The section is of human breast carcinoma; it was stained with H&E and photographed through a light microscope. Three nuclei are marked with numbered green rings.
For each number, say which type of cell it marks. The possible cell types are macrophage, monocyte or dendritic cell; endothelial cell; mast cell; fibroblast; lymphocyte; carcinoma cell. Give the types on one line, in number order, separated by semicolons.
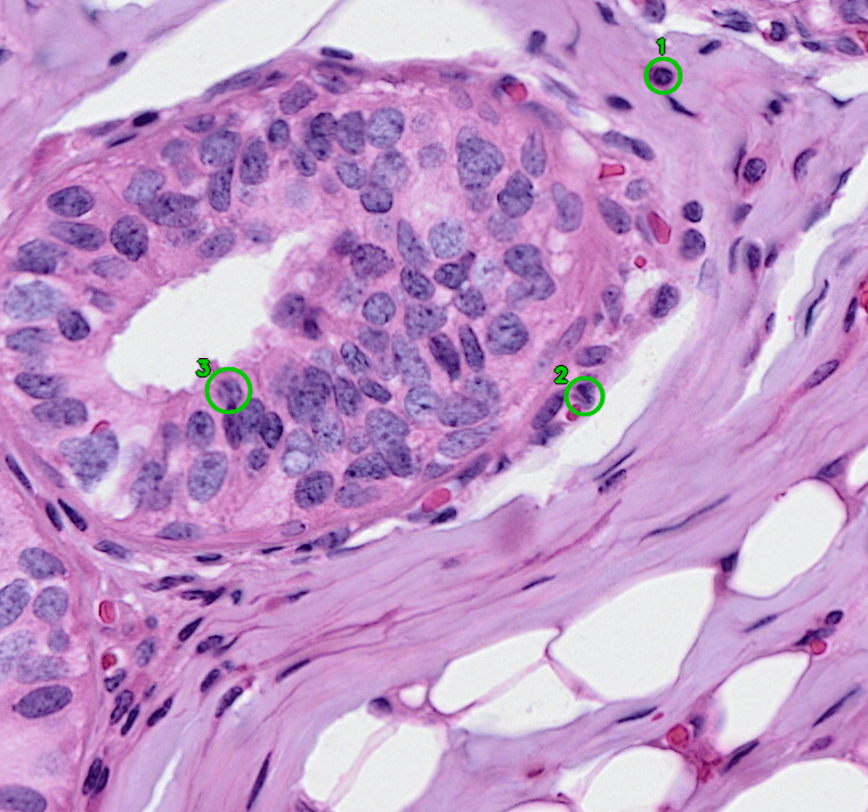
mast cell; endothelial cell; carcinoma cell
